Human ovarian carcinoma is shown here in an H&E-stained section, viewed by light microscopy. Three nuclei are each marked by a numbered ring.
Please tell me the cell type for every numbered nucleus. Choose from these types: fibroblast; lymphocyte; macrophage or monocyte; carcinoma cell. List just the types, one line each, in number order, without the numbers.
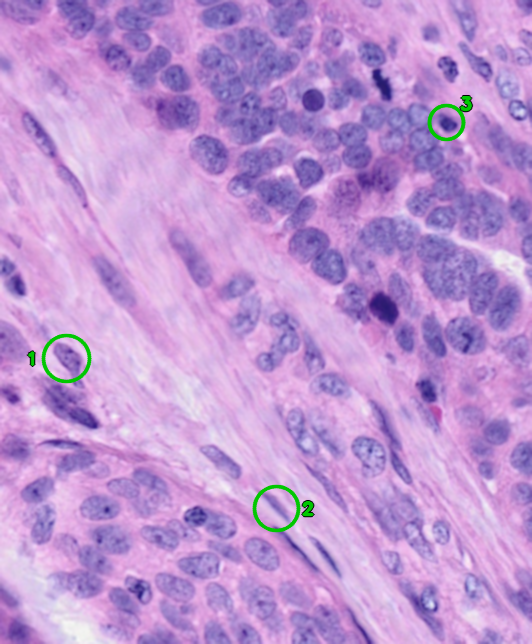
macrophage or monocyte
fibroblast
lymphocyte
